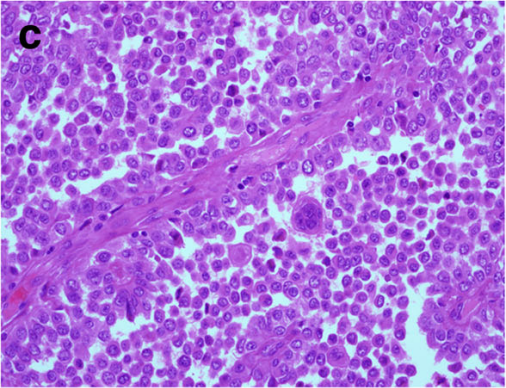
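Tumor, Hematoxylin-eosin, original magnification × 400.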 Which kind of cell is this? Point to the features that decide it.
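Osteoclast-like giant cells. A large cell with multiple clustered nuclei and pink cytoplasm lies among the tumor cells. It is several times larger than the surrounding cells.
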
